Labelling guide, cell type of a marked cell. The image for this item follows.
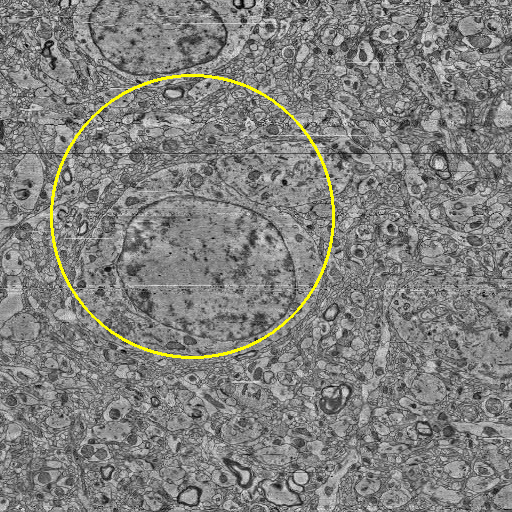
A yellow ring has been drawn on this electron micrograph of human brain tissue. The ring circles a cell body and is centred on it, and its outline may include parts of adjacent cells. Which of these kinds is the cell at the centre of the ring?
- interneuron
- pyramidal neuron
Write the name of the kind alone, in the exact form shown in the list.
pyramidal neuron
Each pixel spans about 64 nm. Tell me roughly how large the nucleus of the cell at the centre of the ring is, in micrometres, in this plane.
About 12 by 10 micrometers for the nucleus, in this plane.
